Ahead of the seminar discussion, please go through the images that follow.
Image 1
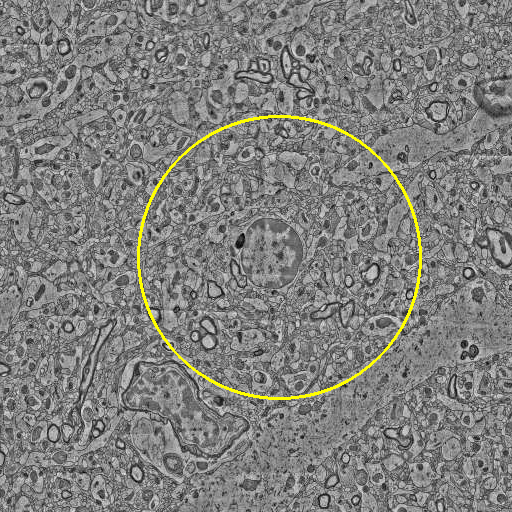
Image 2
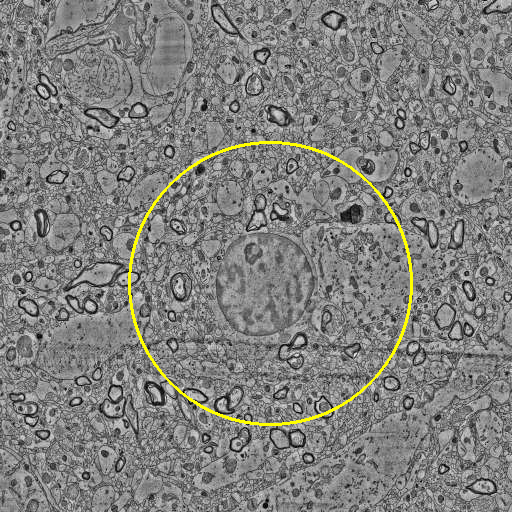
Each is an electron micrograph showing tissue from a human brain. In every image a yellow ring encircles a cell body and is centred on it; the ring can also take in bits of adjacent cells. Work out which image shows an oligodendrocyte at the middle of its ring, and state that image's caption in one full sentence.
In Image 2, the ring's centre holds the cell you are looking for.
